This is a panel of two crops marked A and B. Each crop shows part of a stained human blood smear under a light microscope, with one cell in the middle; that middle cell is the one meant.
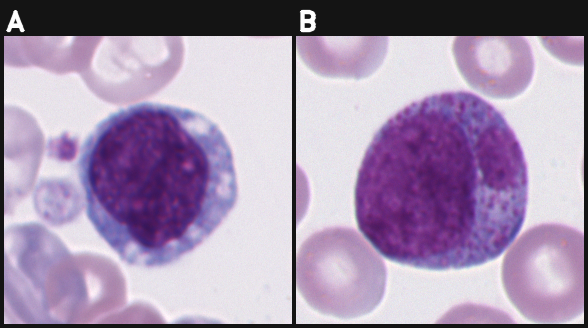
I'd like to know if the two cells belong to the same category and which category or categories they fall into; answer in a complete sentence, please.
No, crop A offers a monocyte, while crop B offers a promyelocyte.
